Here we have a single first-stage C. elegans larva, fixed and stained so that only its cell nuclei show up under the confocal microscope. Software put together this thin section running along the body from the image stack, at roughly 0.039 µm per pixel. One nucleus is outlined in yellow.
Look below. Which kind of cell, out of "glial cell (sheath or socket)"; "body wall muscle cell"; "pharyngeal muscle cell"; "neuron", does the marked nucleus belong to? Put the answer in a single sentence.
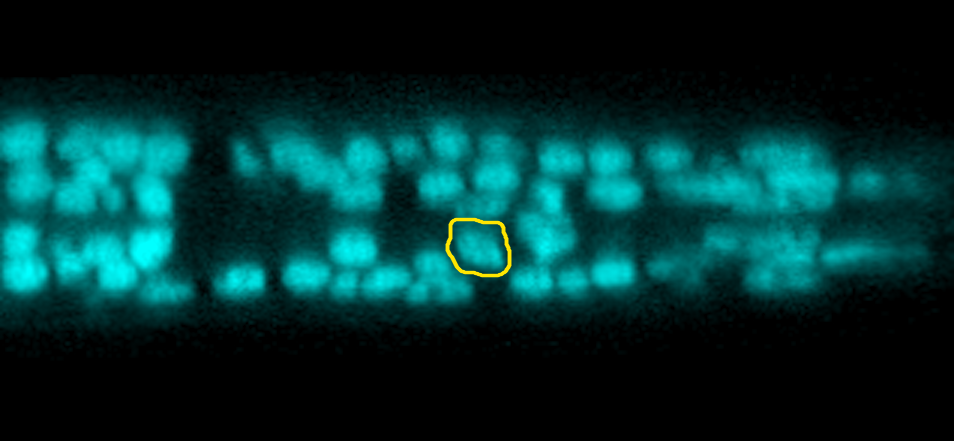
The marked cell is a pharyngeal muscle cell.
